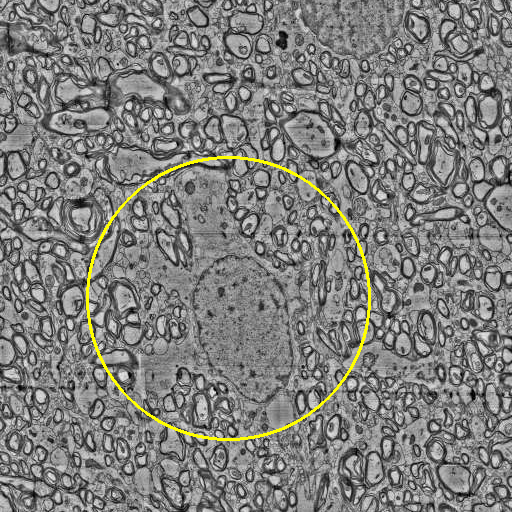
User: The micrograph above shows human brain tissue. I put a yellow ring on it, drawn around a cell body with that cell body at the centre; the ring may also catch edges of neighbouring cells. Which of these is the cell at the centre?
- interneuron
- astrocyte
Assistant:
astrocyte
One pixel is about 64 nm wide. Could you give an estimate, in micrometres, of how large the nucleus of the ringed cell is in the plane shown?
The nucleus is approximately 10 micrometers long by 7 micrometers wide in this plane.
